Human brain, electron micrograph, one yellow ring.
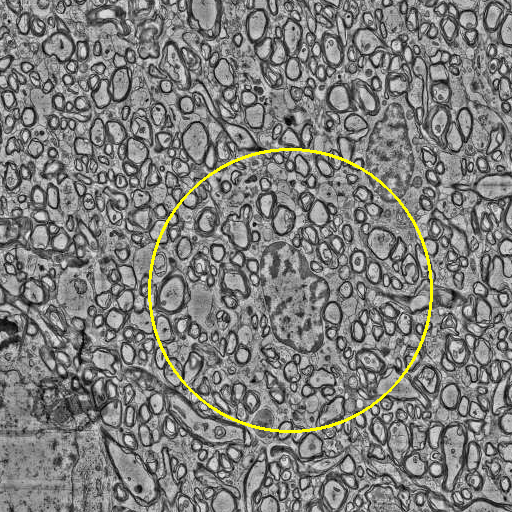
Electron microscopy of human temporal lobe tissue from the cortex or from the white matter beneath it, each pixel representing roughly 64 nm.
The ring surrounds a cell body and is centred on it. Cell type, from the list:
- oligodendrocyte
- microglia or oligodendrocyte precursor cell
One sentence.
The yellow ring circles a microglial cell or oligodendrocyte precursor cell.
